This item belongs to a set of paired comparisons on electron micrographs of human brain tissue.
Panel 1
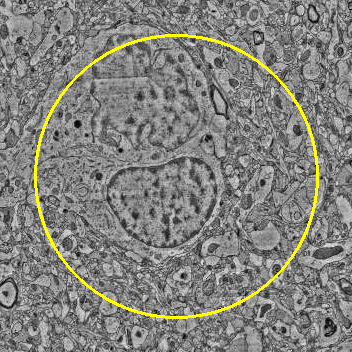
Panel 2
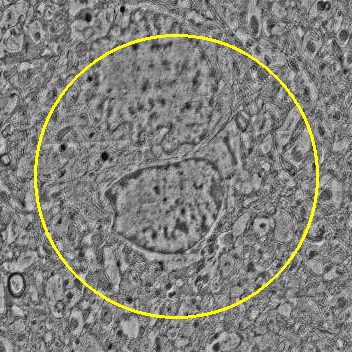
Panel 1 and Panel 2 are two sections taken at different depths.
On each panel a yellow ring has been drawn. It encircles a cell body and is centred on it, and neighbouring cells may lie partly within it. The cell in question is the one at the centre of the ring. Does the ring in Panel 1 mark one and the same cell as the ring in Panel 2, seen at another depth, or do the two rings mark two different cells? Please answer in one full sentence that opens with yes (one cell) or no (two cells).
Yes, the first and second rings frame the same single cell.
